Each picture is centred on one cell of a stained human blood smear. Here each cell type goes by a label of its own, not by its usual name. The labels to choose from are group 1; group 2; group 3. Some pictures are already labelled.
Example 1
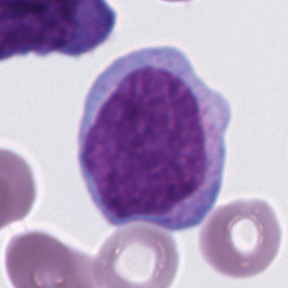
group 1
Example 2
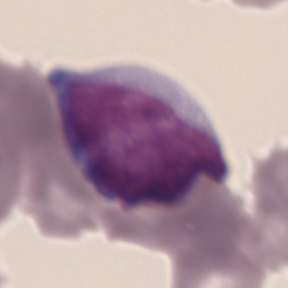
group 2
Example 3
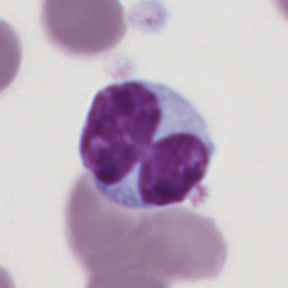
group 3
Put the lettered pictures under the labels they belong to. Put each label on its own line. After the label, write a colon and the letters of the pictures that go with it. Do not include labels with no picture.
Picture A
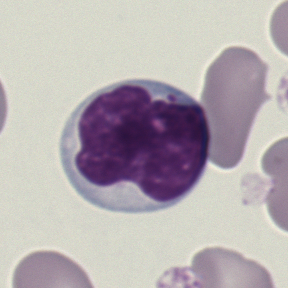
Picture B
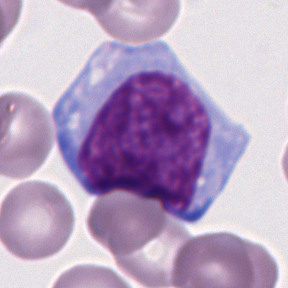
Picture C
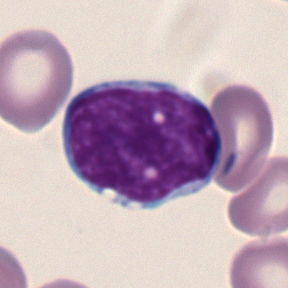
group 2: B, C
group 3: A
